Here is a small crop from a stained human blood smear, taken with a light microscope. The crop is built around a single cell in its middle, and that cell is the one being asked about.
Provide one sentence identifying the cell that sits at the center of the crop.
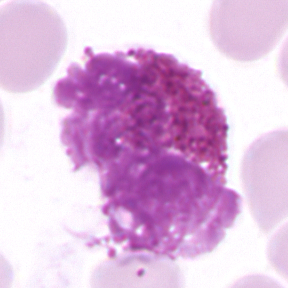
The crop's centre is taken up by an eosinophil.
